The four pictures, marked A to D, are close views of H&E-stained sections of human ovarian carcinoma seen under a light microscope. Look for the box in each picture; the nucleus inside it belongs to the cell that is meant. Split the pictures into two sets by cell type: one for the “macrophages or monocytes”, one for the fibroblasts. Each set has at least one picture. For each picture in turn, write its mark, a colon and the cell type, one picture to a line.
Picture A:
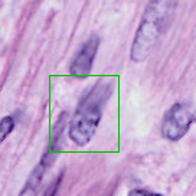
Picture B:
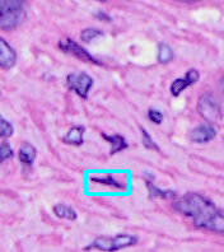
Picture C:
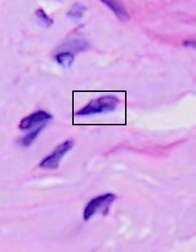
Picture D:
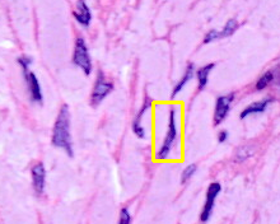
A: macrophage or monocyte
B: fibroblast
C: fibroblast
D: fibroblast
